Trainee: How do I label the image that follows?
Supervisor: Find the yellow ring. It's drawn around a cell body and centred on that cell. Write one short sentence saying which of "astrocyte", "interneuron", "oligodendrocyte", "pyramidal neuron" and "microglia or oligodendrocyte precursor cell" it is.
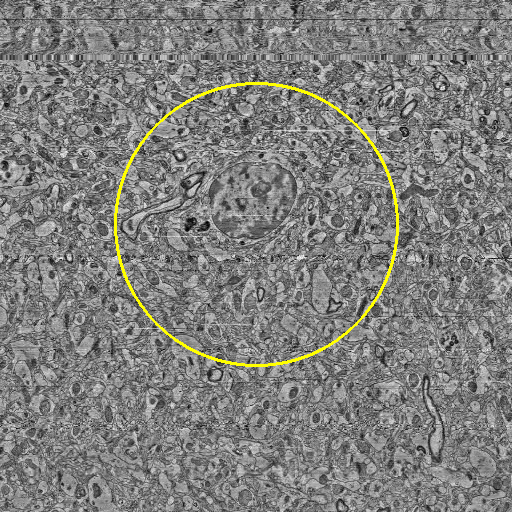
This is the cell body of a microglial cell or oligodendrocyte precursor cell.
